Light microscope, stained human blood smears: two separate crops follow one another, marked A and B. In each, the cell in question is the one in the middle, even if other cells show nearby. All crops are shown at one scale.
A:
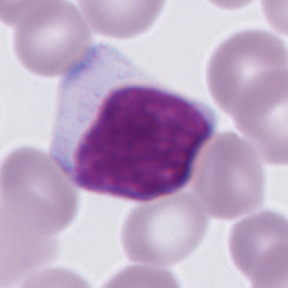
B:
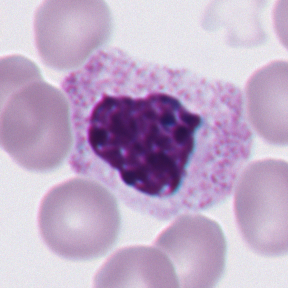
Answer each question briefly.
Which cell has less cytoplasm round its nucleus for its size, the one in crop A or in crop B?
A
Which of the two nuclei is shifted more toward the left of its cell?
B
